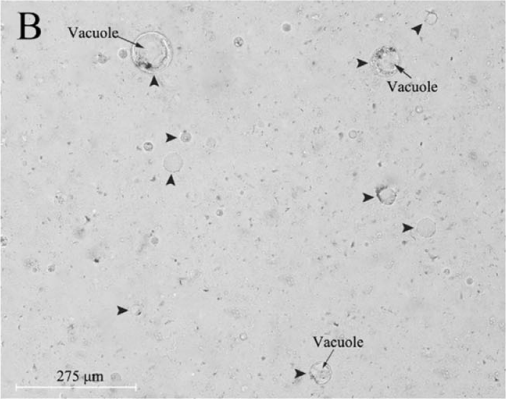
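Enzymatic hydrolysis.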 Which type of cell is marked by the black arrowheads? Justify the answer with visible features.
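They vary widely in diameter. Some contain a large clear inner compartment.
Answer: protoplast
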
